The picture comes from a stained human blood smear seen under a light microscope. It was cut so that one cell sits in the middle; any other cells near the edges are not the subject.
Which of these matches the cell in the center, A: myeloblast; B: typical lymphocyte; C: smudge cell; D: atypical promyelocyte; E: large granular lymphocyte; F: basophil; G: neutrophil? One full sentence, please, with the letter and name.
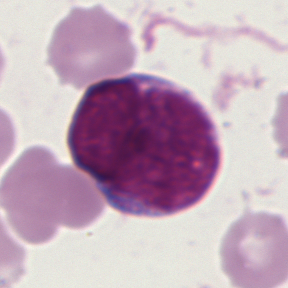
For this crop, option A is right, the centered cell being a myeloblast.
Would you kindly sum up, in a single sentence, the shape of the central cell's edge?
The border of this cell runs smooth and free of any projections.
